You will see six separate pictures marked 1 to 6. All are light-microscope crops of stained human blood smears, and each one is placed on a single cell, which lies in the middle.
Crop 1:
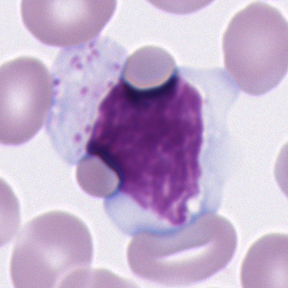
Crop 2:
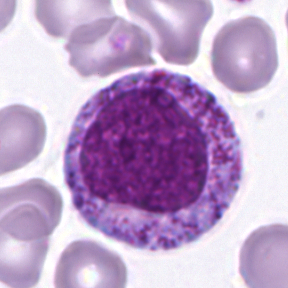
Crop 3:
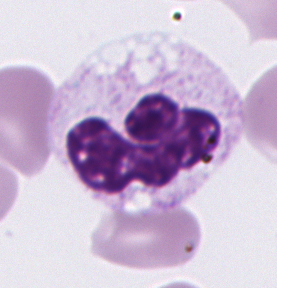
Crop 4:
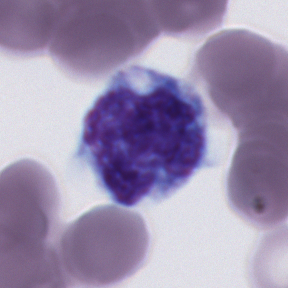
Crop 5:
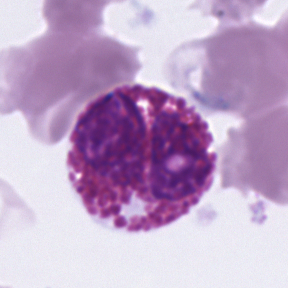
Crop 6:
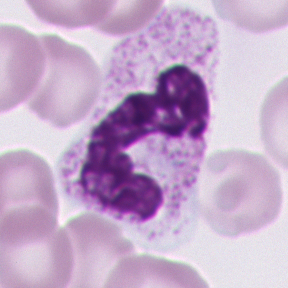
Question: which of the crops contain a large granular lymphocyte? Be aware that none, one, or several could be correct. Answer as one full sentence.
Crop 1 shows a large granular lymphocyte, which none of the other crops show.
